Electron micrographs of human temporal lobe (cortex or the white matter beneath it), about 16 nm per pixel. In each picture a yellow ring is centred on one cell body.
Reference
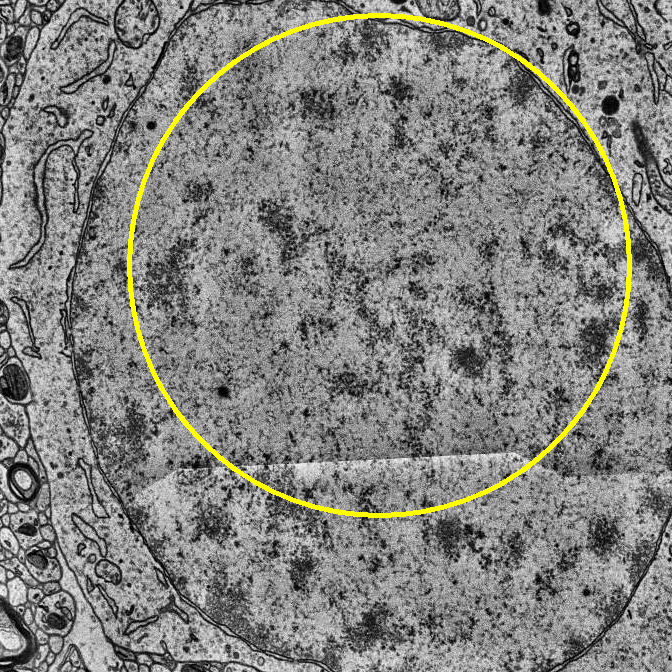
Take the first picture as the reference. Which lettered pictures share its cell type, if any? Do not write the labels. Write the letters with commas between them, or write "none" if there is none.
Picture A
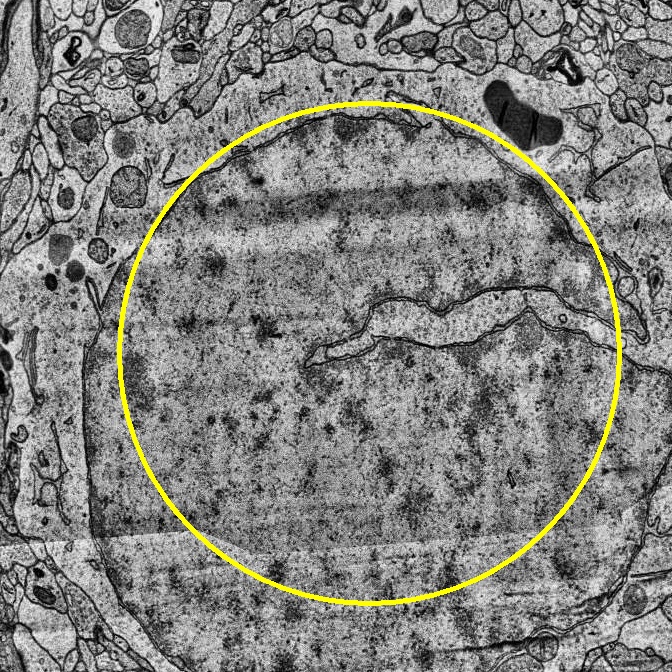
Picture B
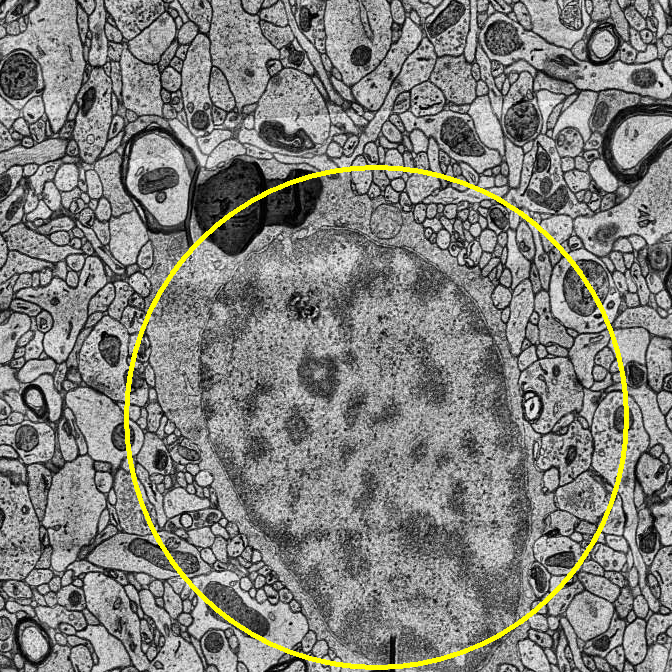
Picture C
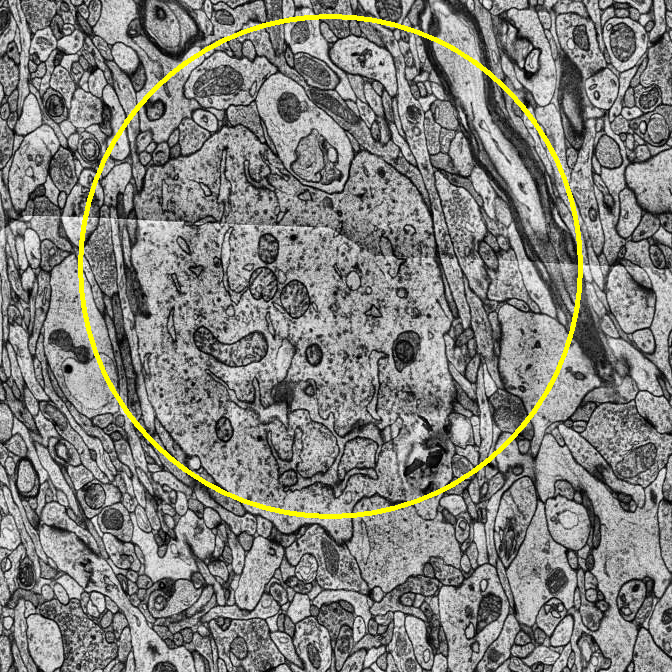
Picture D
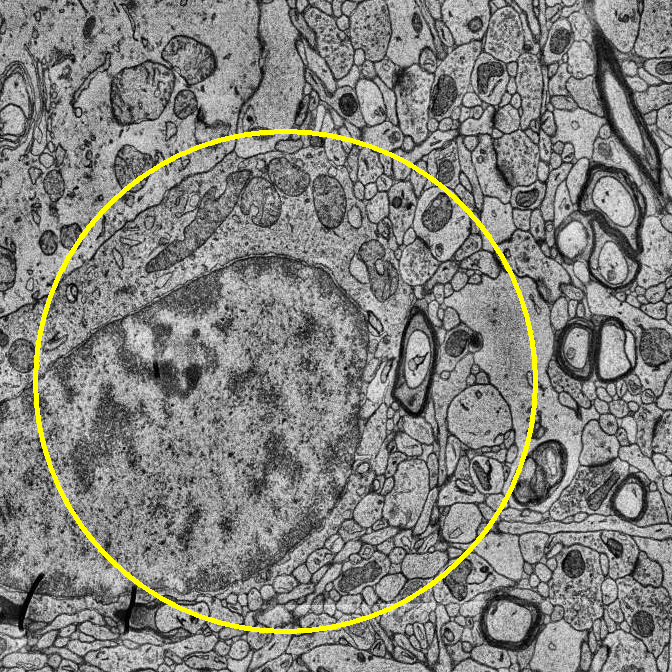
A, C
